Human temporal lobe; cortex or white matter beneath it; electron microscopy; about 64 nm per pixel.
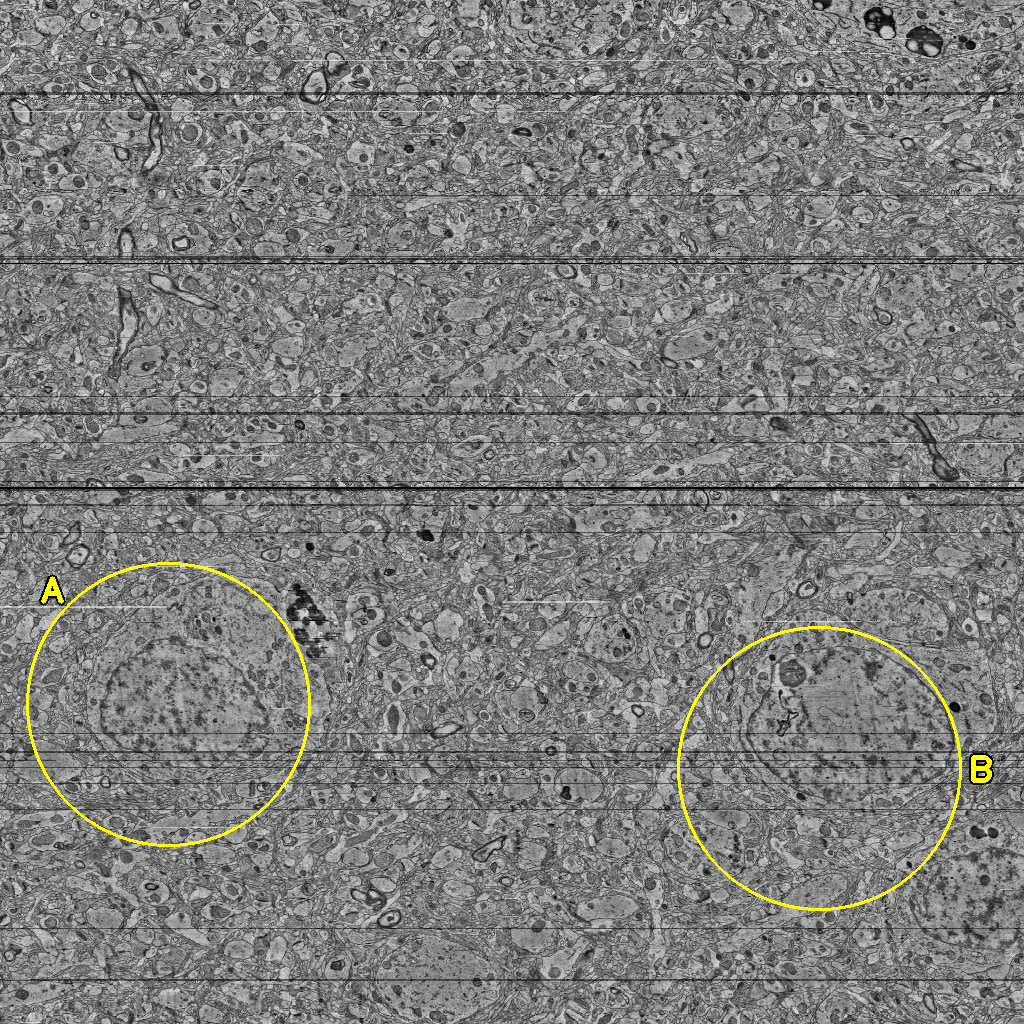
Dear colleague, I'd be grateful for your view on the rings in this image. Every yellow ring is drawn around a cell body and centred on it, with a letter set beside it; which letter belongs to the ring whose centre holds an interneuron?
A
